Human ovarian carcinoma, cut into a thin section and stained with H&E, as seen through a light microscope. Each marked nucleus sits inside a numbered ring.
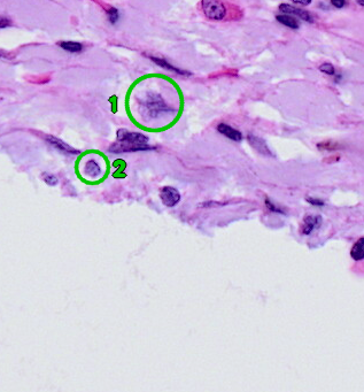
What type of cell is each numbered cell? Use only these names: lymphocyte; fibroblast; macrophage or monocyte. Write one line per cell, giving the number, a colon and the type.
1: fibroblast
2: lymphocyte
